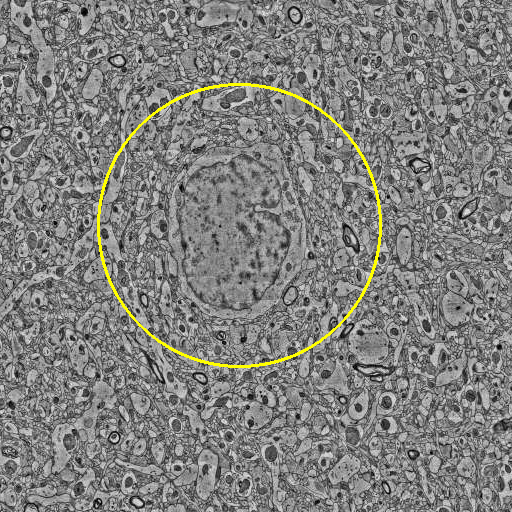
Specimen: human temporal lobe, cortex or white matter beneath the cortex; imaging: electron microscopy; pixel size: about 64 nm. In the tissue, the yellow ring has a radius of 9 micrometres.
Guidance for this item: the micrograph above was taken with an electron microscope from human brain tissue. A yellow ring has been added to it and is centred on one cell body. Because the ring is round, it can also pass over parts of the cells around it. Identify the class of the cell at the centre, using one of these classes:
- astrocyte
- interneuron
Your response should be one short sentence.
The ring surrounds the body of an interneuron.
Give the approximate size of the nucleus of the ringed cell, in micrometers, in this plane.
The nucleus is approximately 10 micrometers long by 8 micrometers wide in this plane.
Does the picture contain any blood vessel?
No, no vessel shows anywhere in the image.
